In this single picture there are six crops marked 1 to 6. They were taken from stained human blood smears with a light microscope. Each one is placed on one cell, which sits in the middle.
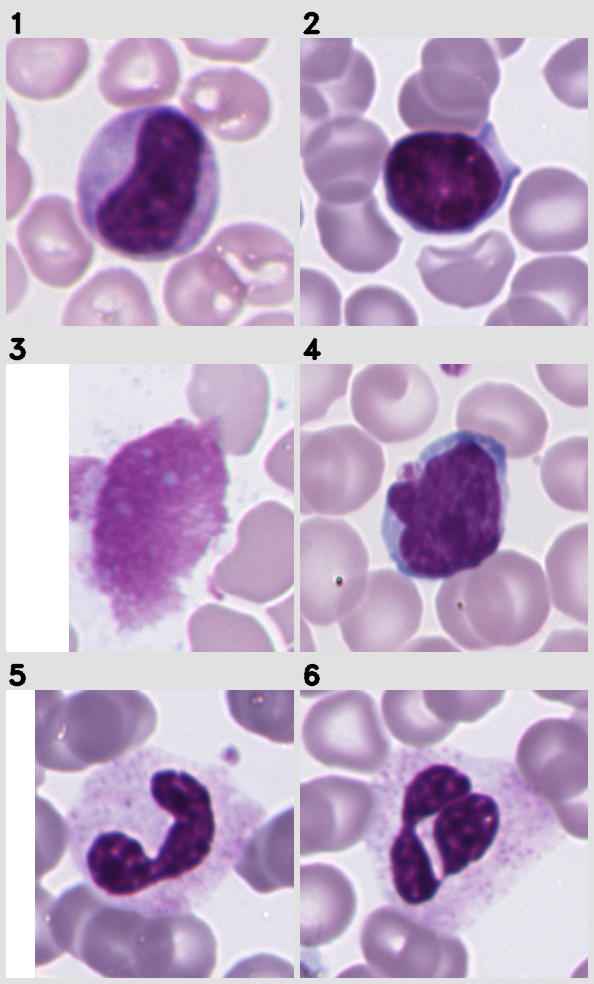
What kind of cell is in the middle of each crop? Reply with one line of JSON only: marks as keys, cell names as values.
{"1": "metamyelocyte", "2": "typical lymphocyte", "3": "smudge cell", "4": "typical lymphocyte", "5": "segmented neutrophil", "6": "segmented neutrophil"}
